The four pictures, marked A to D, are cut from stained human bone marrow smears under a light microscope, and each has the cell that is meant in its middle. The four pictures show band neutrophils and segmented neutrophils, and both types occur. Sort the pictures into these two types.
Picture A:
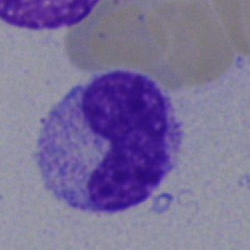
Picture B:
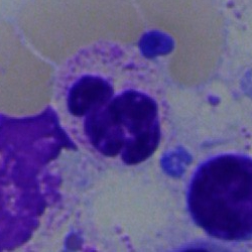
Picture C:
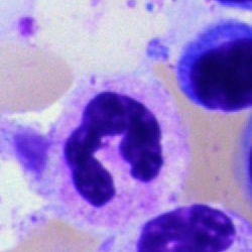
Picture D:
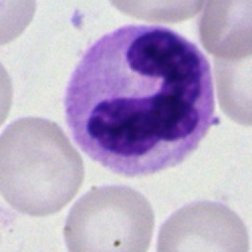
A: band neutrophil
B: segmented neutrophil
C: segmented neutrophil
D: band neutrophil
